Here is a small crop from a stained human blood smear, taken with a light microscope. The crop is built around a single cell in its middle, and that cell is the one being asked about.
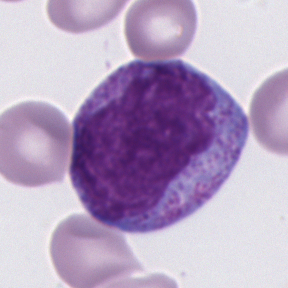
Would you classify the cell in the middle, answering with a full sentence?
In short, the cell at the center is a promyelocyte.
